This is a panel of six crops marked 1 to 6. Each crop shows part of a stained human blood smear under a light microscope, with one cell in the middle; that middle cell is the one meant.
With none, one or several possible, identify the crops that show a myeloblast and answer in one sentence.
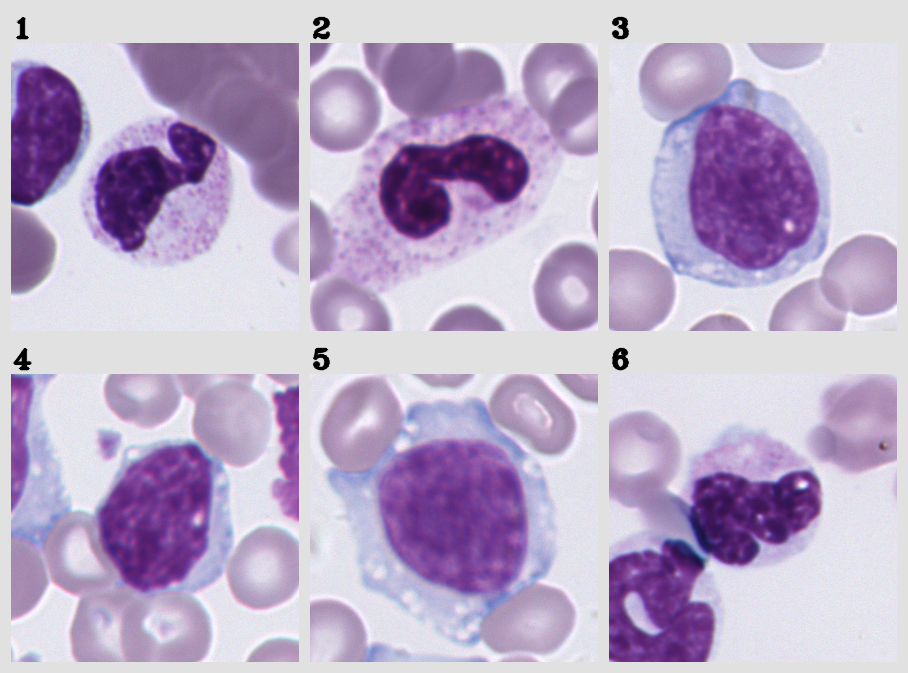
Crops 3 and 5 hold myeloblasts in the centre of the field.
